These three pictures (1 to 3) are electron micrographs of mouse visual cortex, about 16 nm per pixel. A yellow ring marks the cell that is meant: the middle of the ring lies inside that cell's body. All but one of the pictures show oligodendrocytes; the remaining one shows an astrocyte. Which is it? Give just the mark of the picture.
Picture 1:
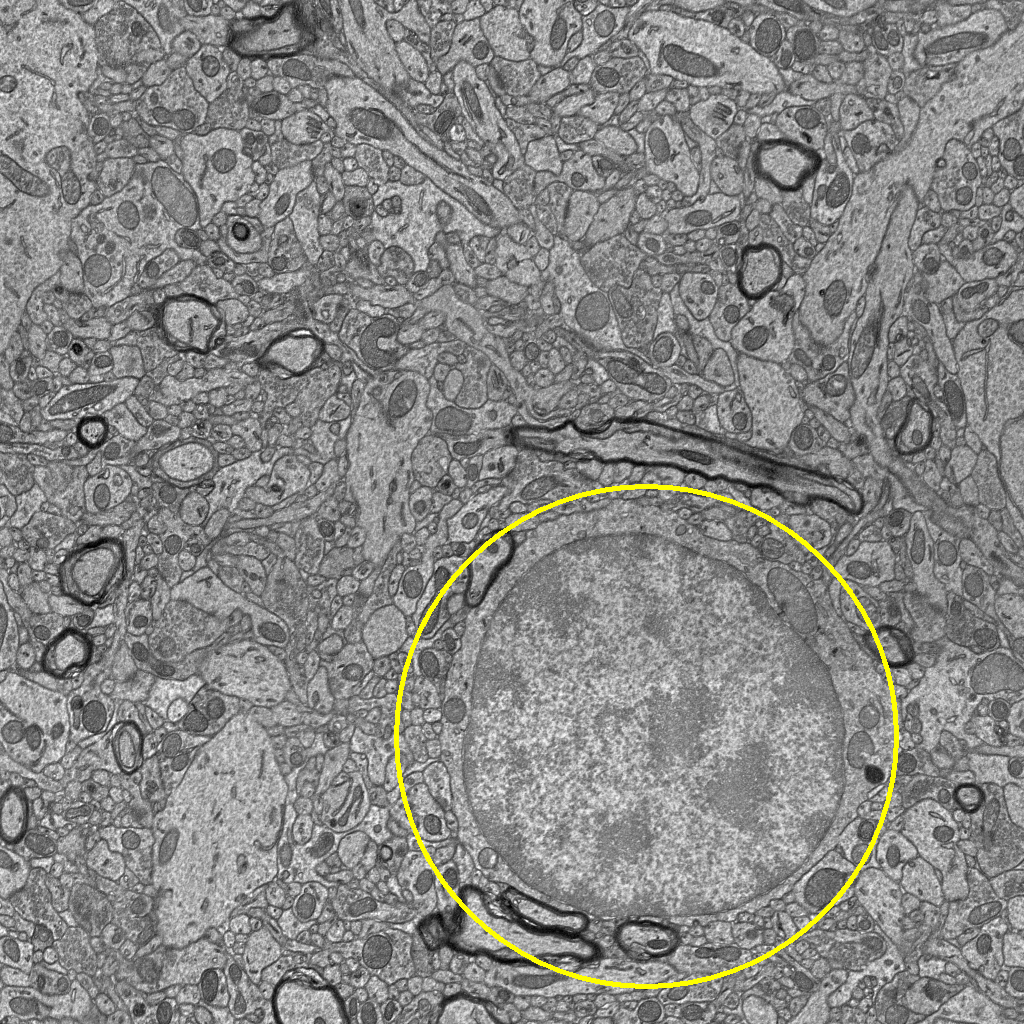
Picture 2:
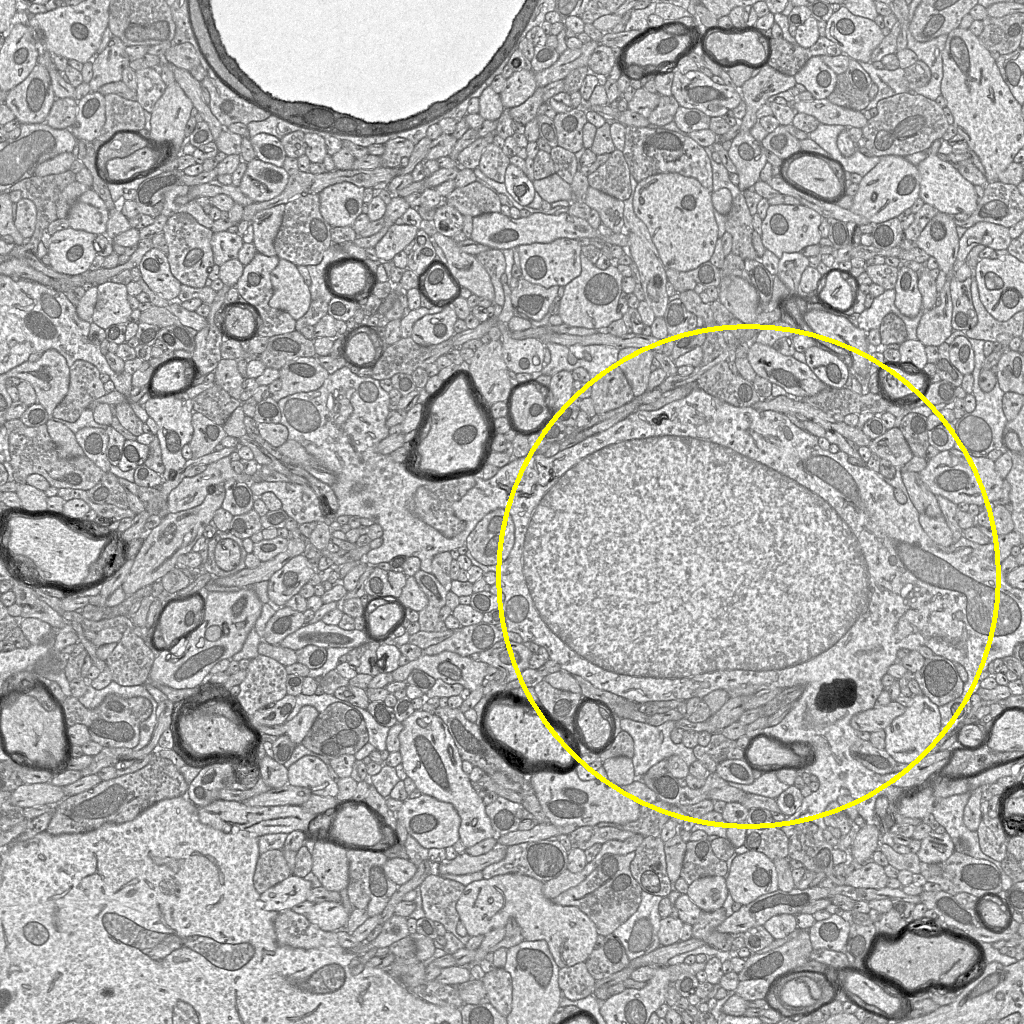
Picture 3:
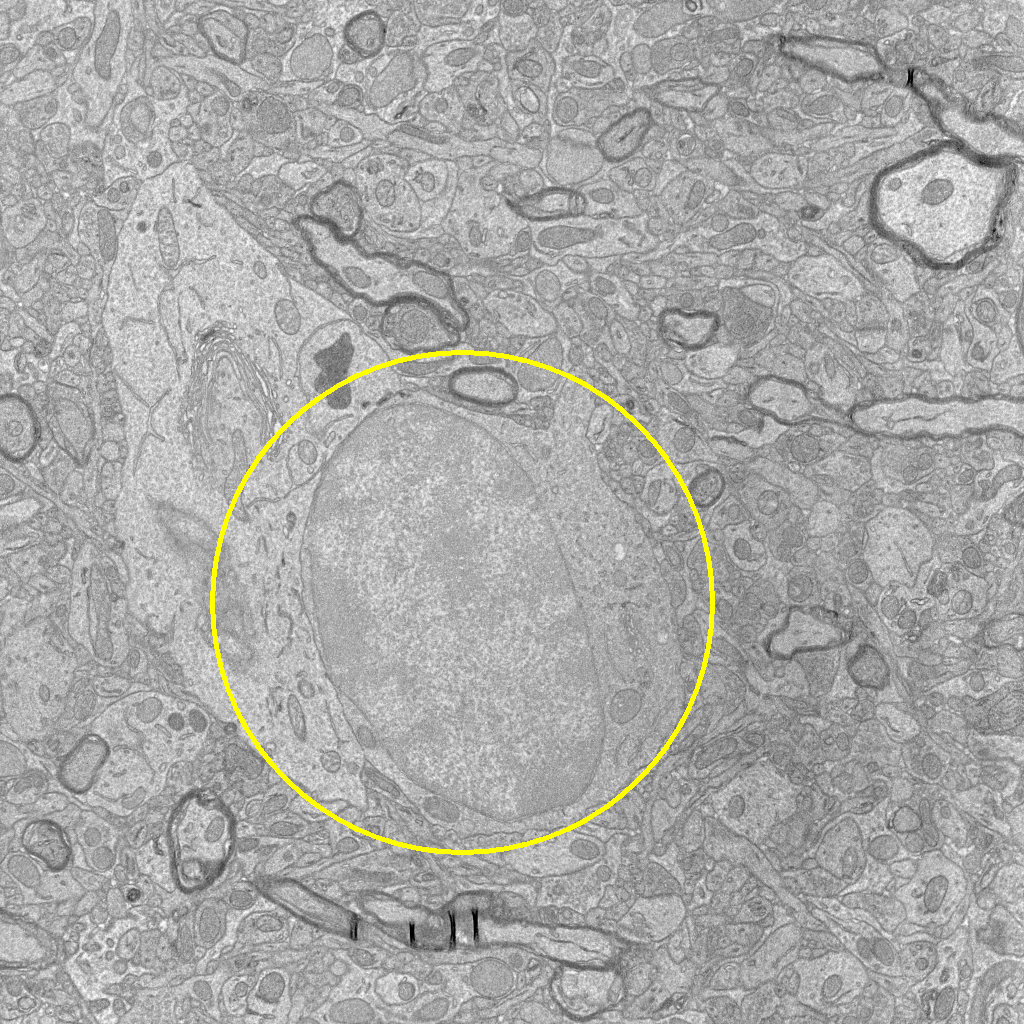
2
